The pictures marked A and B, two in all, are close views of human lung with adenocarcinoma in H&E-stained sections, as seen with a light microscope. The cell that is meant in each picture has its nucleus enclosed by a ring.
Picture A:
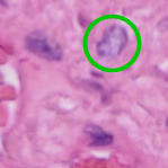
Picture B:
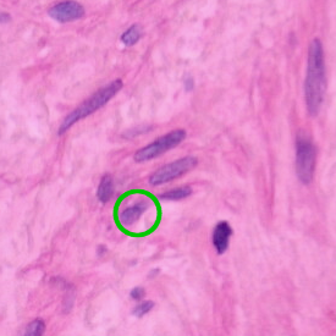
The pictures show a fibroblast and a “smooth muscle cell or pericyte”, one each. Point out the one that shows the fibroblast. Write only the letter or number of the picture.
A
